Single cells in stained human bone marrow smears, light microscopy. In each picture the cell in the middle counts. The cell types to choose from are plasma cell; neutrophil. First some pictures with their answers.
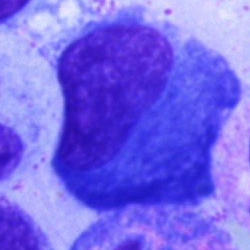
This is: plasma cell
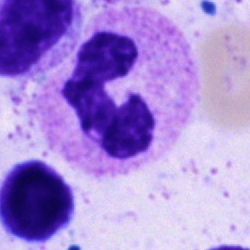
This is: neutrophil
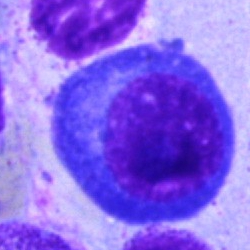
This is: plasma cell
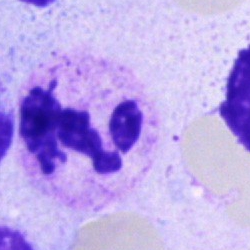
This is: neutrophil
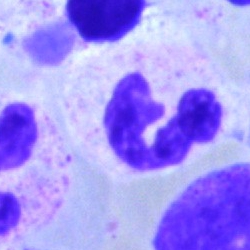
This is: neutrophil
